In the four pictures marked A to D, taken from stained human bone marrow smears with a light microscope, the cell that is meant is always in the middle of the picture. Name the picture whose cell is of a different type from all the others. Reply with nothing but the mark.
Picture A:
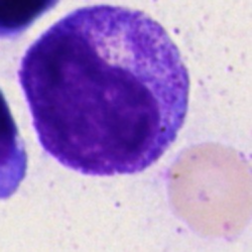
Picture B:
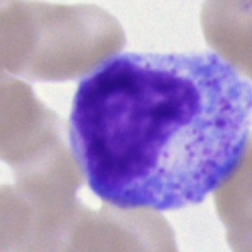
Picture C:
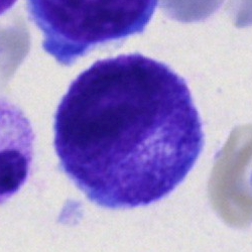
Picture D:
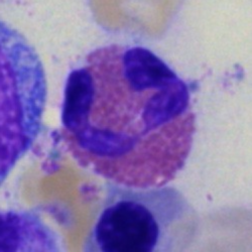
D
